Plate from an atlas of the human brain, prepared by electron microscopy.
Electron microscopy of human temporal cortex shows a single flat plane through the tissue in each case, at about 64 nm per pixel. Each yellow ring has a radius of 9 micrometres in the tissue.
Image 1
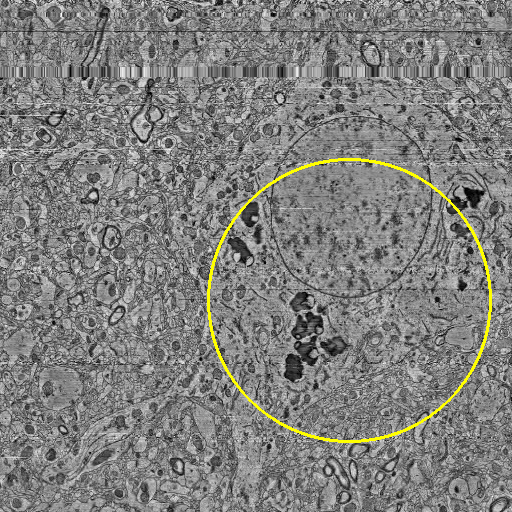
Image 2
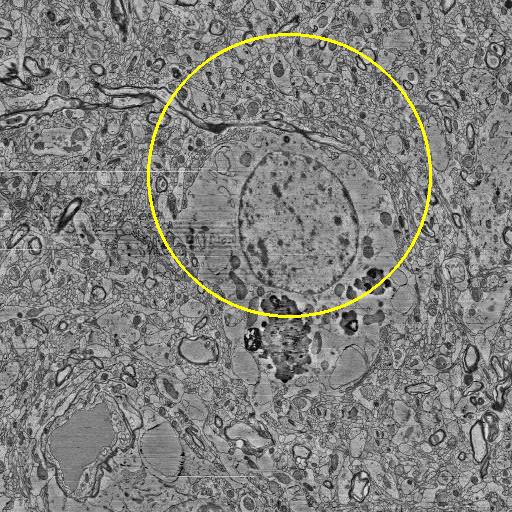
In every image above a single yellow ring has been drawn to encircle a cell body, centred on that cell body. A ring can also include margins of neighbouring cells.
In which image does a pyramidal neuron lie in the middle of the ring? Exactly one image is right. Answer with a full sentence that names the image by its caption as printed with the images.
Image 1 holds the requested cell at the very centre of its ring.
